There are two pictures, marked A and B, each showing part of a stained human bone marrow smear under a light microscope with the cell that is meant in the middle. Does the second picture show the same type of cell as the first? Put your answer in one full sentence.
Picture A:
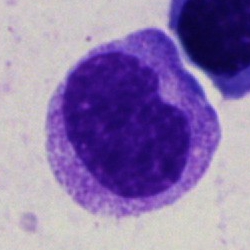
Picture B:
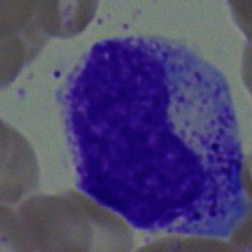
Yes, both are metamyelocytes.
